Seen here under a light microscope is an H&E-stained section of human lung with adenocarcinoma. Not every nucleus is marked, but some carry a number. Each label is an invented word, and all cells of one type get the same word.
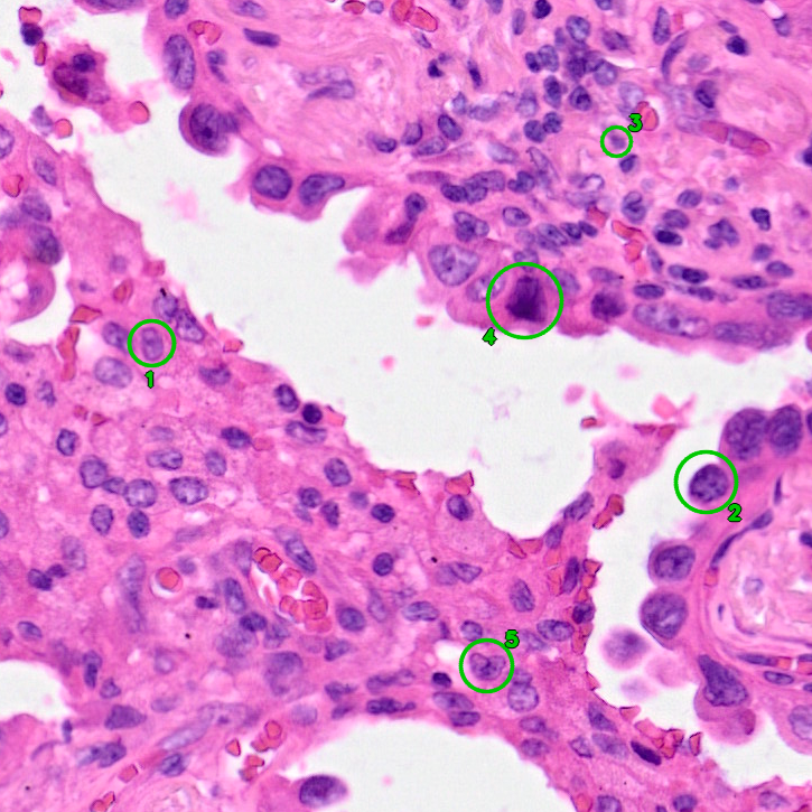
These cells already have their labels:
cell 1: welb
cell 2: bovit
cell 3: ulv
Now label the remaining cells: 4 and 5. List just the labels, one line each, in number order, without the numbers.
bovit
welb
